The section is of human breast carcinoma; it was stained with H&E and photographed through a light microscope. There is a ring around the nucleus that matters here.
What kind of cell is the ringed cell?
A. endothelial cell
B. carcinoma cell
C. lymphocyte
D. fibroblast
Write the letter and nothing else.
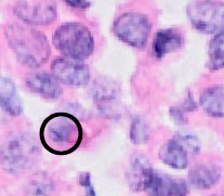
A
